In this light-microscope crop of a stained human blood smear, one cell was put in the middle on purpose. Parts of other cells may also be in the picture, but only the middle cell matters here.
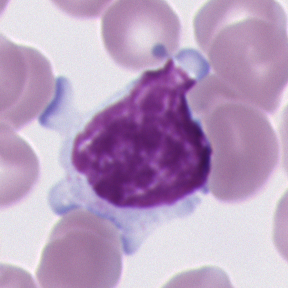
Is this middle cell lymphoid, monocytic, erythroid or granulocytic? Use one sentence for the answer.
The centered cell here is of lymphoid lineage.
